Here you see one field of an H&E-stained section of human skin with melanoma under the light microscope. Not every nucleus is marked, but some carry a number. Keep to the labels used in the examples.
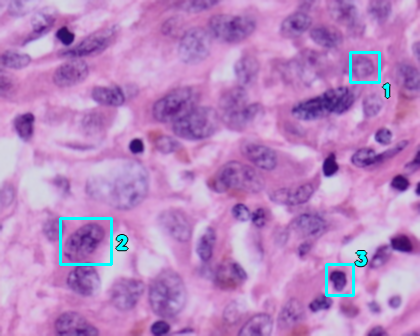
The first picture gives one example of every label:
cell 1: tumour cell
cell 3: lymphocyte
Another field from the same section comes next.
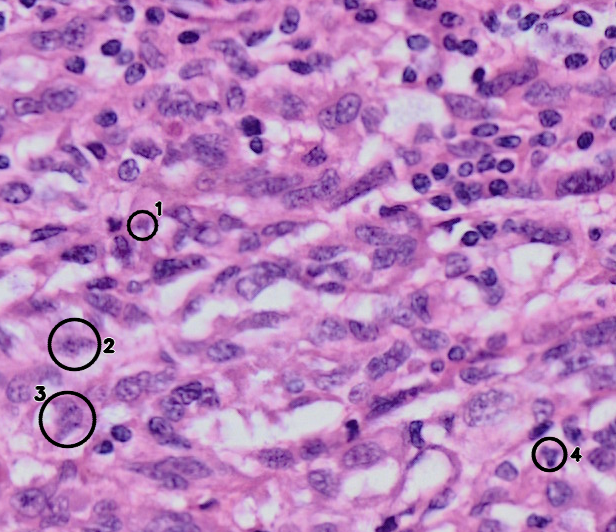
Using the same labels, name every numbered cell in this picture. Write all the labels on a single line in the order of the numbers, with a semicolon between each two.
tumour cell; tumour cell; tumour cell; lymphocyte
